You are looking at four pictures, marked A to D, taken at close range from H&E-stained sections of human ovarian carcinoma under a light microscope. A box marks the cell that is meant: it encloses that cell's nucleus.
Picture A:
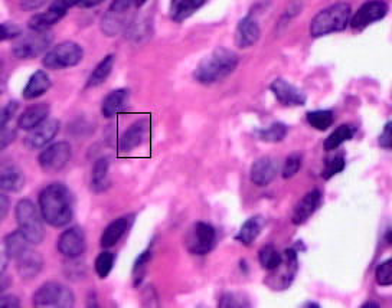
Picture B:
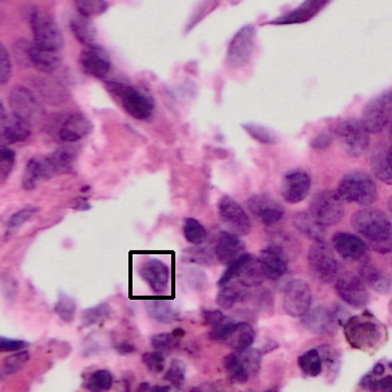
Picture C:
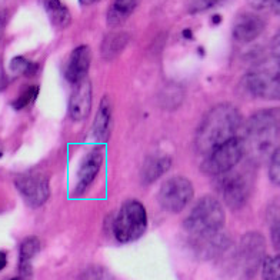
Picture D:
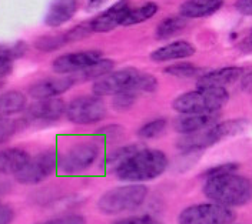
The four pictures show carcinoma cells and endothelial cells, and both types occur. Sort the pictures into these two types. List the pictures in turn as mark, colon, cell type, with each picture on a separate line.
A: endothelial cell
B: carcinoma cell
C: endothelial cell
D: carcinoma cell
